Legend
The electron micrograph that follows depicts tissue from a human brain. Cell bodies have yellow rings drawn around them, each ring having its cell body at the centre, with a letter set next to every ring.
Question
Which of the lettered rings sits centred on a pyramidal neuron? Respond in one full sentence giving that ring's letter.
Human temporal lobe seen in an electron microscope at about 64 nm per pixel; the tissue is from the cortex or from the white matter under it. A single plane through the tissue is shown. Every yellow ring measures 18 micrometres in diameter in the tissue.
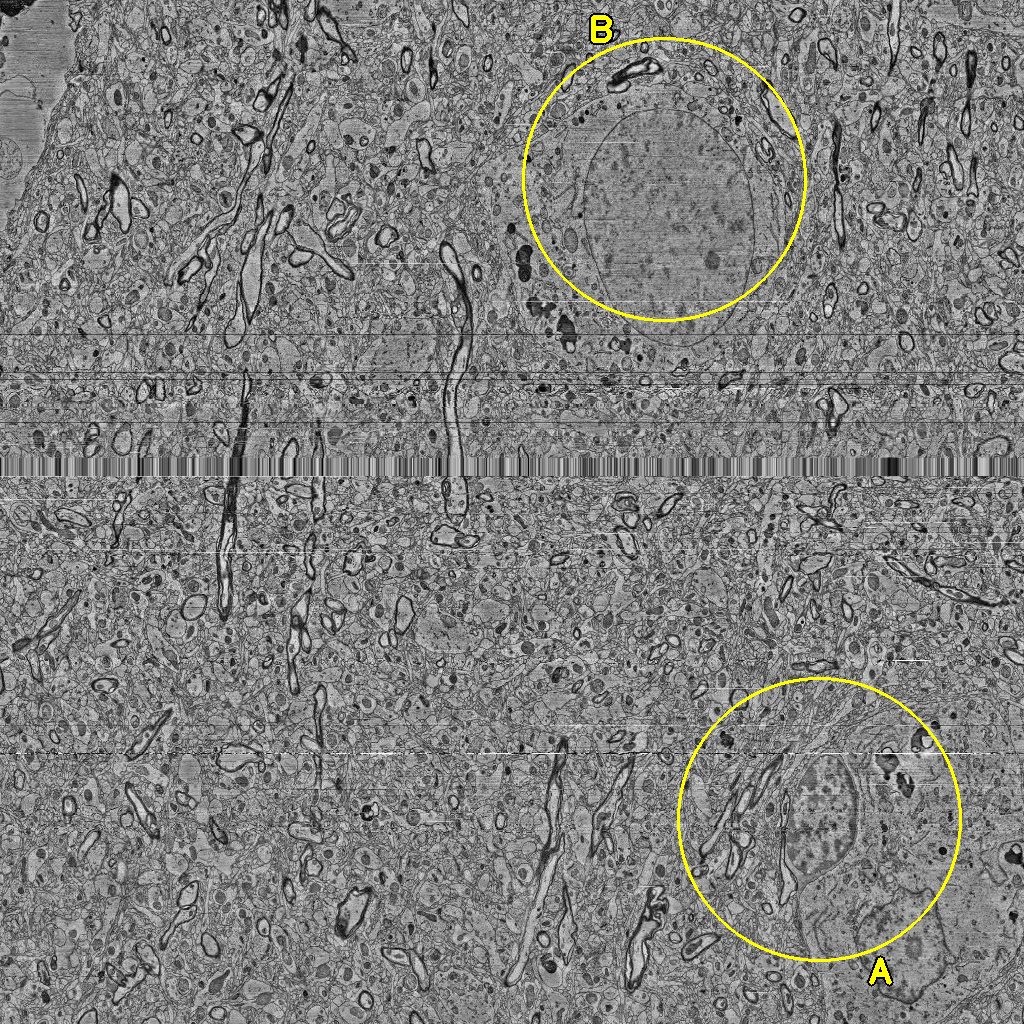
The letter B belongs to the ring centred on the cell asked about in the micrograph.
